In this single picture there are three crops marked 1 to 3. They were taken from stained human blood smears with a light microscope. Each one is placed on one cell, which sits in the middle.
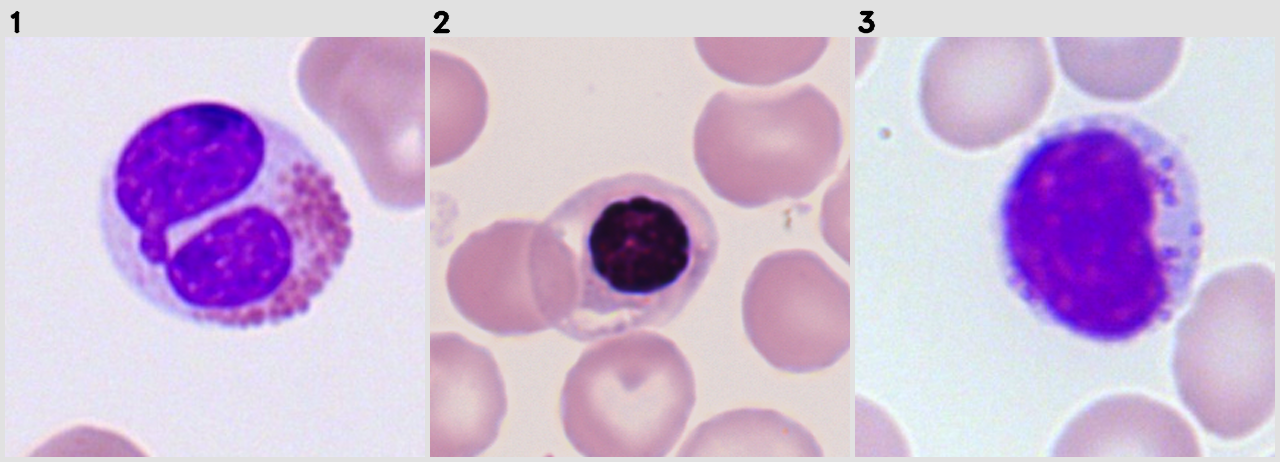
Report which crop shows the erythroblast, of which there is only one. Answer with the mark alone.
2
